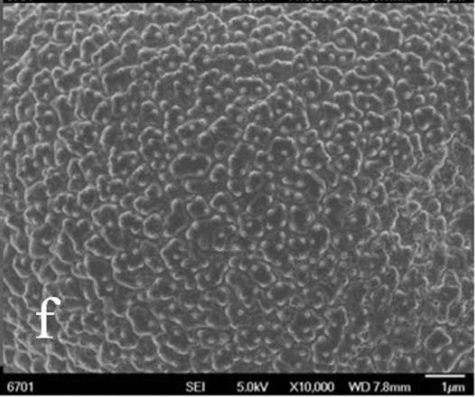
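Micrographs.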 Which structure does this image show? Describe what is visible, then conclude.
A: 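Ornamentation. At high magnification the surface is covered by densely packed small rounded raised elements. The elements are separated by narrow grooves forming an irregular pattern.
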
